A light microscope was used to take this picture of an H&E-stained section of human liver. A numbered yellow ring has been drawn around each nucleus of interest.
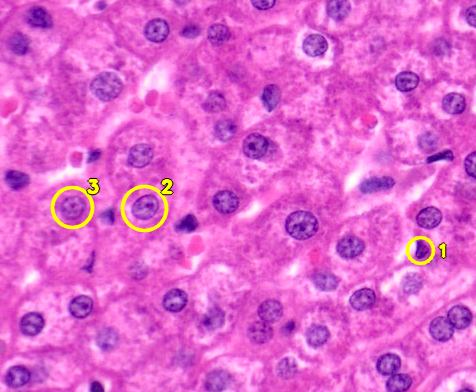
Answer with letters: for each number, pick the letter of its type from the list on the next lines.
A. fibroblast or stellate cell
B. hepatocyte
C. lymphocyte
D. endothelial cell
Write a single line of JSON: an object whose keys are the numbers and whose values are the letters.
{"1": "D", "2": "B", "3": "B"}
